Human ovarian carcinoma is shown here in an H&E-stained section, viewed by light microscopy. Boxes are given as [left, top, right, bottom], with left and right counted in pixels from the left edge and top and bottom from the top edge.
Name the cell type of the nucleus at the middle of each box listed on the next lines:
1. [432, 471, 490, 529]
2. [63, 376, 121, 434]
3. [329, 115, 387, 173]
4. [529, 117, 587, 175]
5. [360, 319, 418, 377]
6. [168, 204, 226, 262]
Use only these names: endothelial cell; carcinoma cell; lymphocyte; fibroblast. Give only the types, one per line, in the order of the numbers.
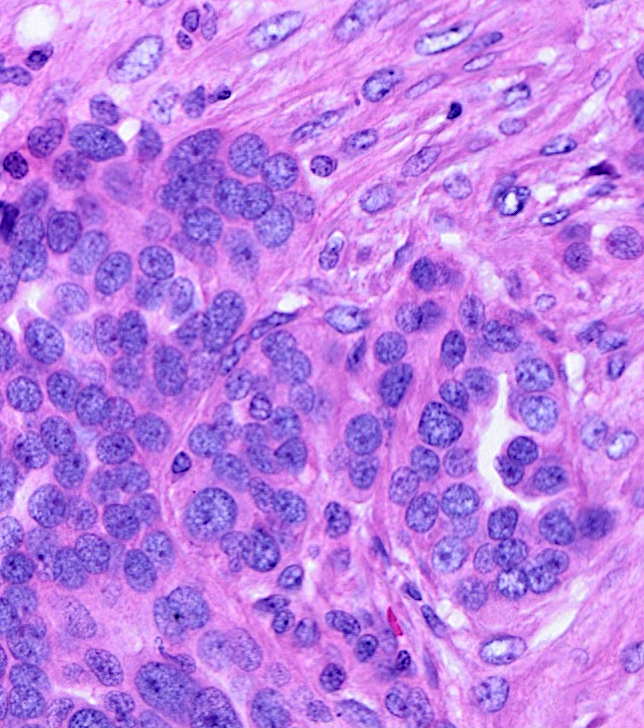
carcinoma cell
carcinoma cell
fibroblast
fibroblast
carcinoma cell
carcinoma cell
